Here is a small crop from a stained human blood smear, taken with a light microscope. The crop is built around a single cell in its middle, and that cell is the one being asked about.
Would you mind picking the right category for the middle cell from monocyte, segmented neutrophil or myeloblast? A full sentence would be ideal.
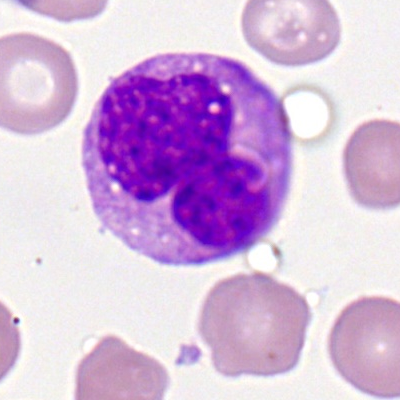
To answer, the cell in the center of the crop is a monocyte.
